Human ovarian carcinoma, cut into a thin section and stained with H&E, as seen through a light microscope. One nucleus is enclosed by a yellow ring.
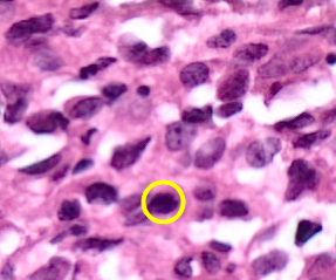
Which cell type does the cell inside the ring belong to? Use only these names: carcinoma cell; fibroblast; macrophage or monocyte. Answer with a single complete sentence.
Right, so the cell inside the ring is a carcinoma cell, to answer that.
